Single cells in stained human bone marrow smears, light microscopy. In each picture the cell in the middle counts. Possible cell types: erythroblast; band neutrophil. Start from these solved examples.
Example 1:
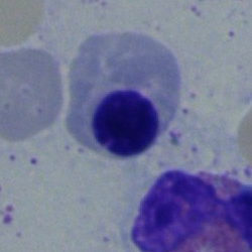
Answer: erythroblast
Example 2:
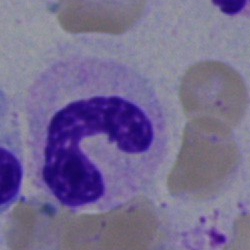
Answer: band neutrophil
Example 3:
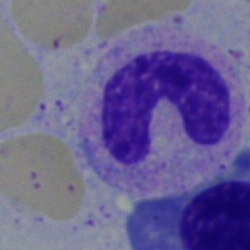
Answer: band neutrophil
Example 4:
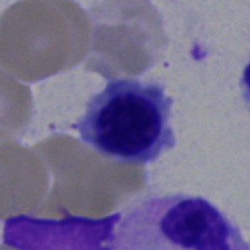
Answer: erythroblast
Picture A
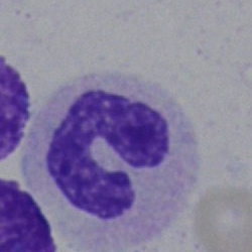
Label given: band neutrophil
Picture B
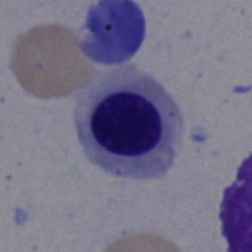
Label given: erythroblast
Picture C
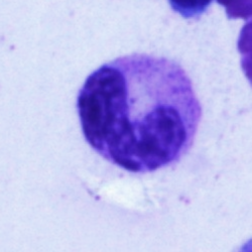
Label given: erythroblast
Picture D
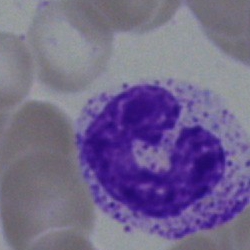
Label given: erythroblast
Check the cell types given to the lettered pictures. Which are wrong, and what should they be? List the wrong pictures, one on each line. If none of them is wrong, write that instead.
Wrong: C (erythroblast); correct: band neutrophil
Wrong: D (erythroblast); correct: band neutrophil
